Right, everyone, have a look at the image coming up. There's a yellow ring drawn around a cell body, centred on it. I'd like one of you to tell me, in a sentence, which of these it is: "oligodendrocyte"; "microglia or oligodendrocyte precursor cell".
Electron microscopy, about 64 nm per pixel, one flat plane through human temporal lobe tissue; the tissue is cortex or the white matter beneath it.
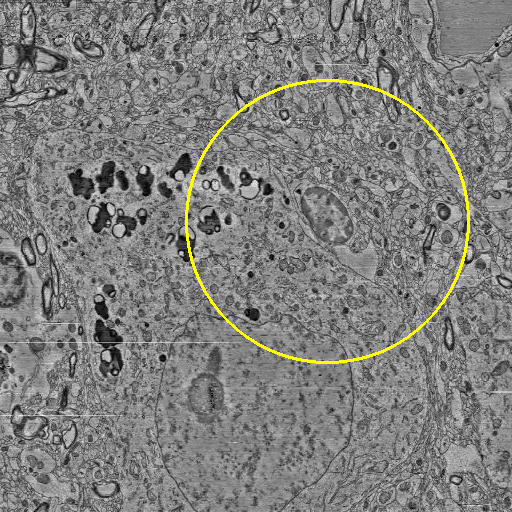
The yellow ring sits on a microglial cell or oligodendrocyte precursor cell.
